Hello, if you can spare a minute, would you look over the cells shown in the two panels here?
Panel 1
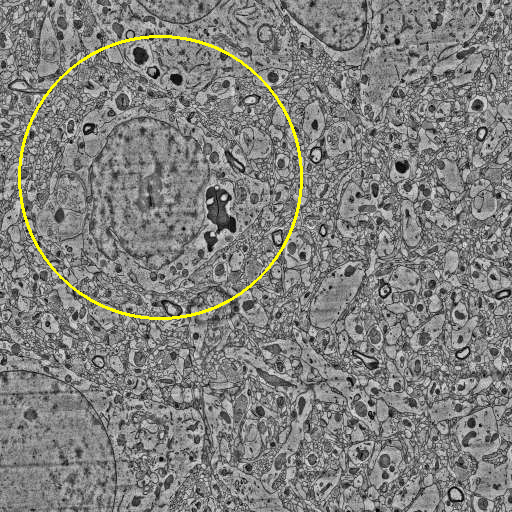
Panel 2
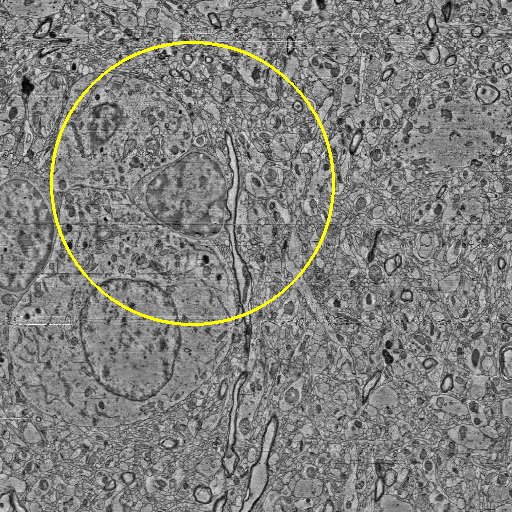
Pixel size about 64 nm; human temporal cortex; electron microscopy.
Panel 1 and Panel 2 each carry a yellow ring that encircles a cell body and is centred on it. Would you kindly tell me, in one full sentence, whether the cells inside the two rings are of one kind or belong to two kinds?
The cells at the centres of the rings in Panel 1 and Panel 2 belong to two kinds.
